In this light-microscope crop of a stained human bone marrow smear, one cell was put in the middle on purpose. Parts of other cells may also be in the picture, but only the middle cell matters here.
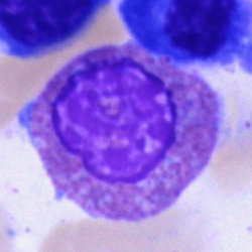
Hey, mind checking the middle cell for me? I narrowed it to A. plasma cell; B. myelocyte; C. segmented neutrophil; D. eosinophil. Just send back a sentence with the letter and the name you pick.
The correct option, D, names the middle cell as an eosinophil.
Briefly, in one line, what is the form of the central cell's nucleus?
See how the nucleus sits as one compact round, oval or kidney-shaped mass.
